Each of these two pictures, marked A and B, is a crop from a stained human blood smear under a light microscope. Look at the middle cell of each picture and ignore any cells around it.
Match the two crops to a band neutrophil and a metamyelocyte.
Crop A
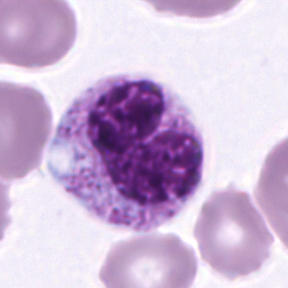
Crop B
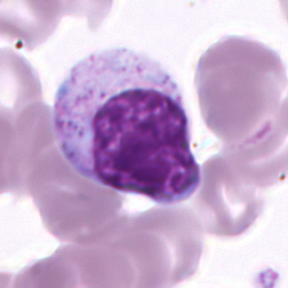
A: band neutrophil
B: metamyelocyte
